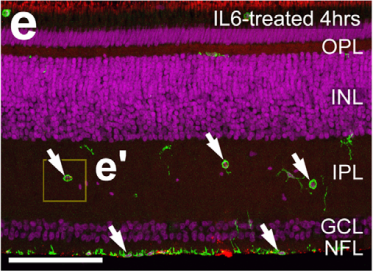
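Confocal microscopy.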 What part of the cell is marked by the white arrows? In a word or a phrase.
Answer: Somata.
